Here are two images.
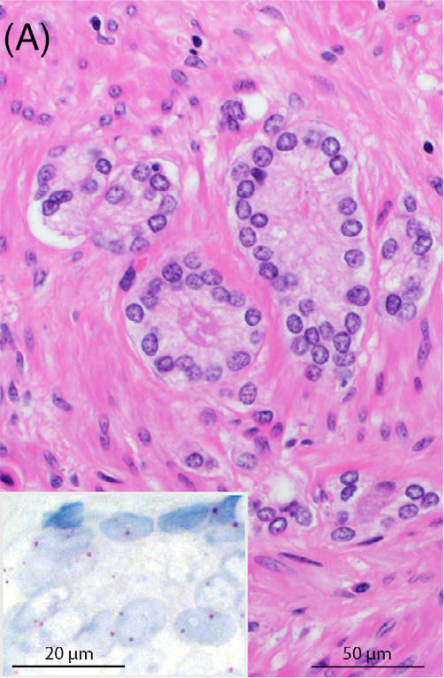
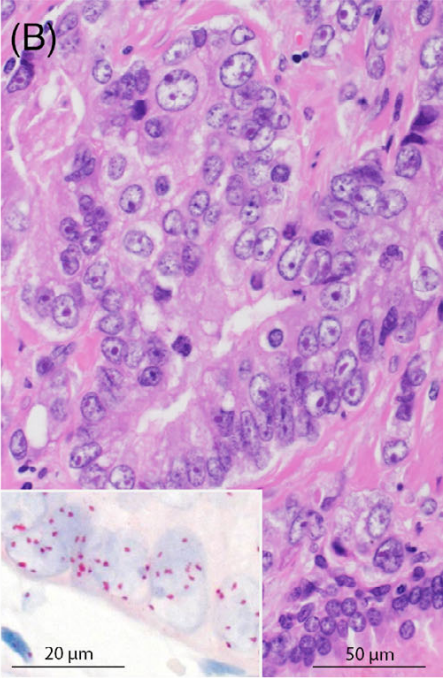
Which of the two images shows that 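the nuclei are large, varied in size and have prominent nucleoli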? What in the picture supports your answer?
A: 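The second image. First image: small, round, uniform nuclei without conspicuous nucleoli. Second image: large nuclei of varying size and shape with clear nucleoli.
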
